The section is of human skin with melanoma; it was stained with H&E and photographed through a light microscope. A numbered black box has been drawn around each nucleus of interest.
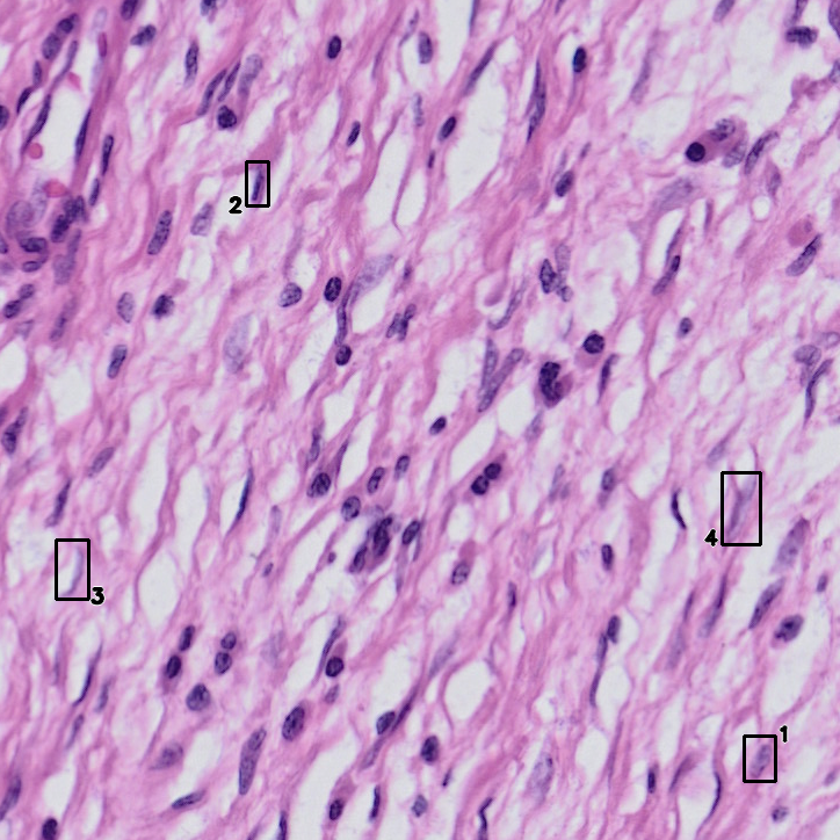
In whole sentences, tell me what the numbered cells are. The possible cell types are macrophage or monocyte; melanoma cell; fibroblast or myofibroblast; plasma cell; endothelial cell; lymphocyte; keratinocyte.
Cell 1 is a macrophage or monocyte, cell 2 is a fibroblast or myofibroblast, cell 3 is a fibroblast or myofibroblast and cell 4 is a fibroblast or myofibroblast.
